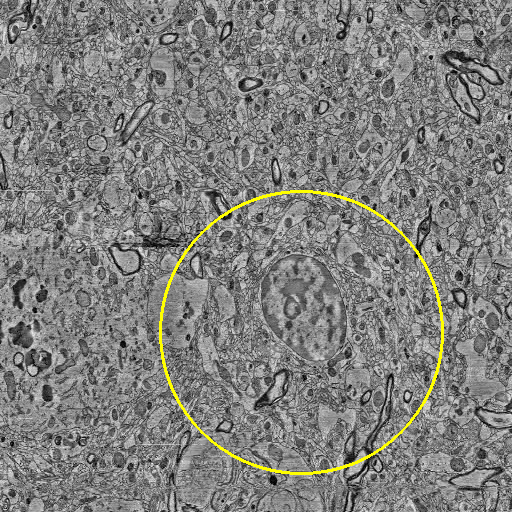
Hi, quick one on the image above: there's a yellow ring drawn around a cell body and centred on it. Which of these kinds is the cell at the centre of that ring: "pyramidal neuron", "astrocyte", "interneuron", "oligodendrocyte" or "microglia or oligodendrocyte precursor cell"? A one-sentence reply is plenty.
The cell at the centre of the ring is a microglial cell or oligodendrocyte precursor cell.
